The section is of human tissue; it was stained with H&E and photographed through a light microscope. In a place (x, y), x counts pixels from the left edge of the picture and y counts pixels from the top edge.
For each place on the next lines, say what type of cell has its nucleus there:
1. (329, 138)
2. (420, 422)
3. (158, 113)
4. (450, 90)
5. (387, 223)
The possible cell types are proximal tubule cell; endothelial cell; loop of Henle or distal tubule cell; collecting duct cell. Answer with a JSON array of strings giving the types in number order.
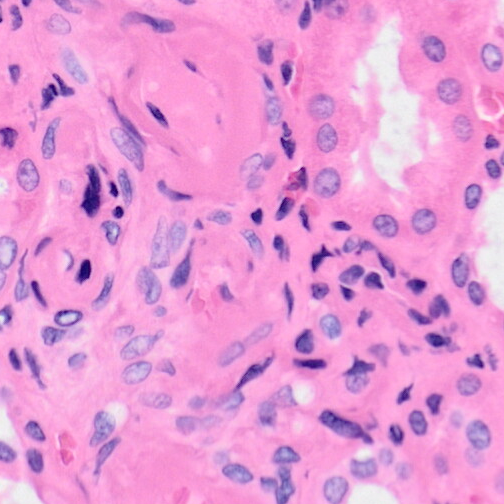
["proximal tubule cell", "collecting duct cell", "endothelial cell", "proximal tubule cell", "proximal tubule cell"]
